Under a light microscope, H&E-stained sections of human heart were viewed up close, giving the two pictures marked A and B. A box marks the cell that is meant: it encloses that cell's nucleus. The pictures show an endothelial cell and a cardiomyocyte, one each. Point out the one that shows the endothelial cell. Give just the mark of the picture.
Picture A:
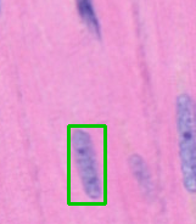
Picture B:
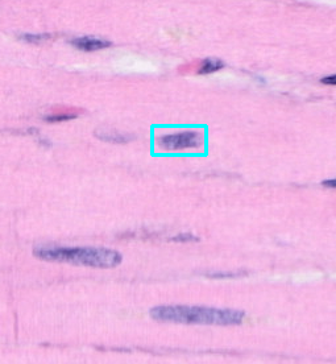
B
